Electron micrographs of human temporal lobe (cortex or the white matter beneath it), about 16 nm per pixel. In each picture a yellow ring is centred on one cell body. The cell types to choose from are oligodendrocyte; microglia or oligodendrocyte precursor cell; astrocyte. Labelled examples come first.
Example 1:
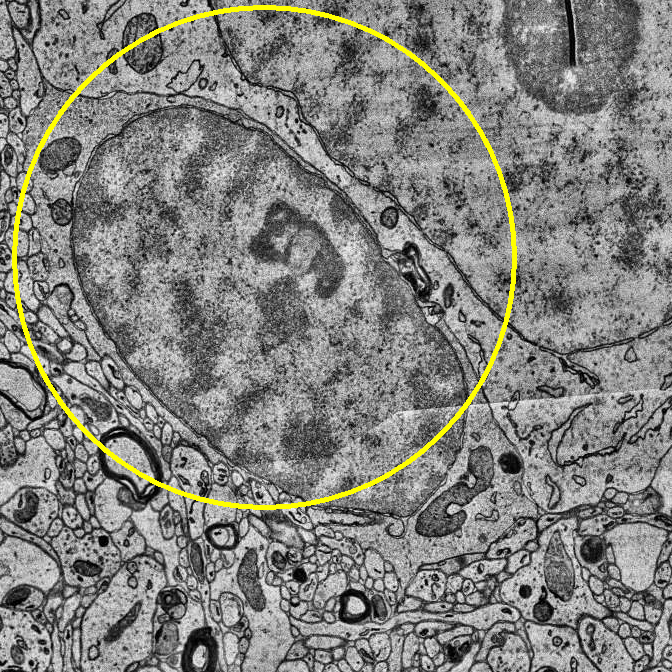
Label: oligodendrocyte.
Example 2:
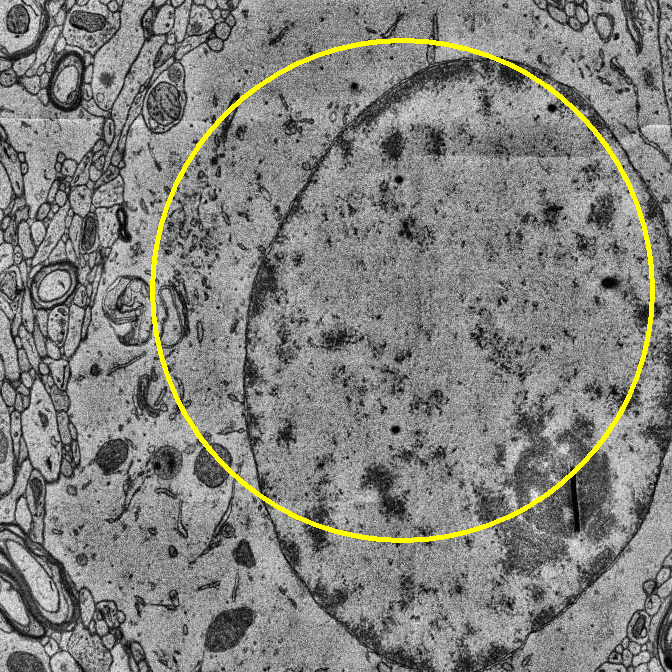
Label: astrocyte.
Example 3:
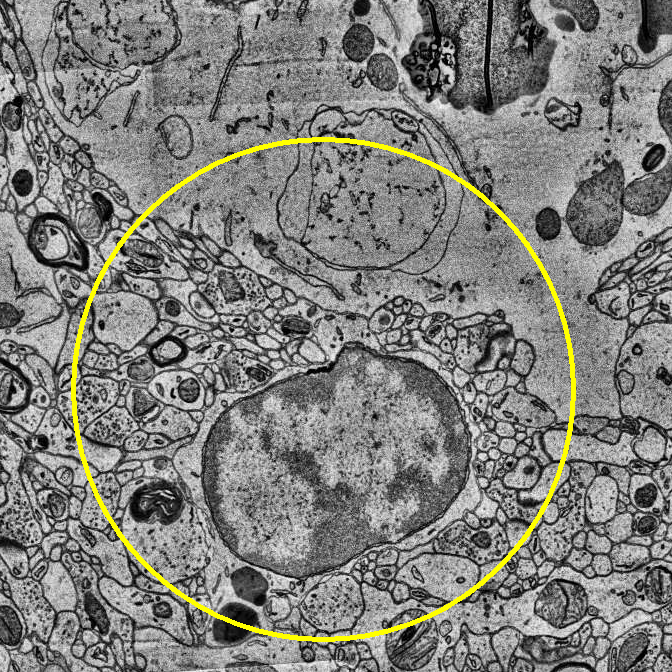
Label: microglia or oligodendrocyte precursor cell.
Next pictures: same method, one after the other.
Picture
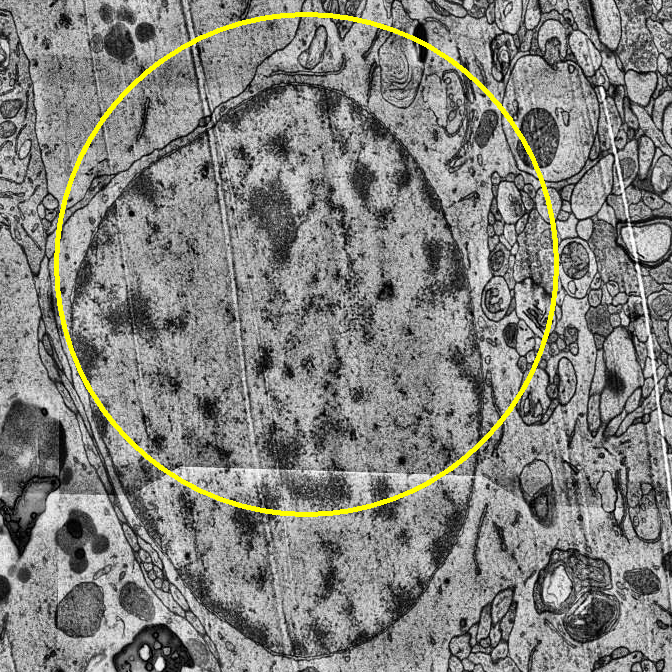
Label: astrocyte.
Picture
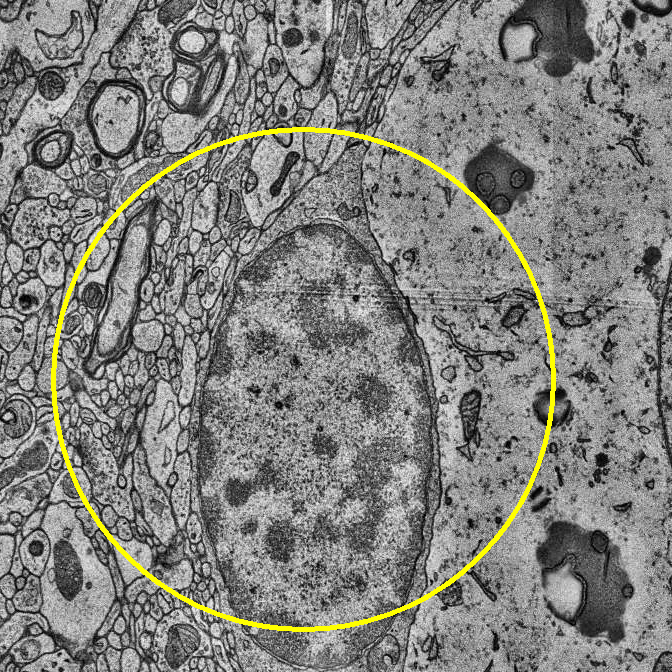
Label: oligodendrocyte.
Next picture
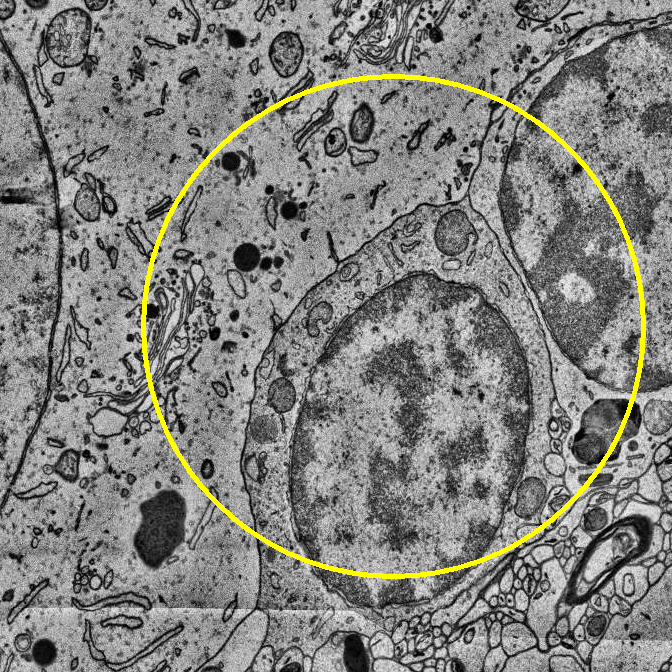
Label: oligodendrocyte.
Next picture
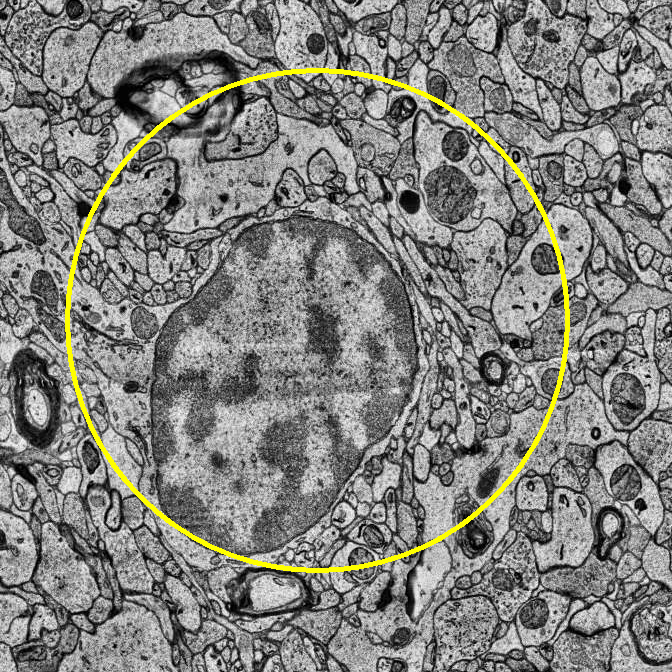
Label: microglia or oligodendrocyte precursor cell.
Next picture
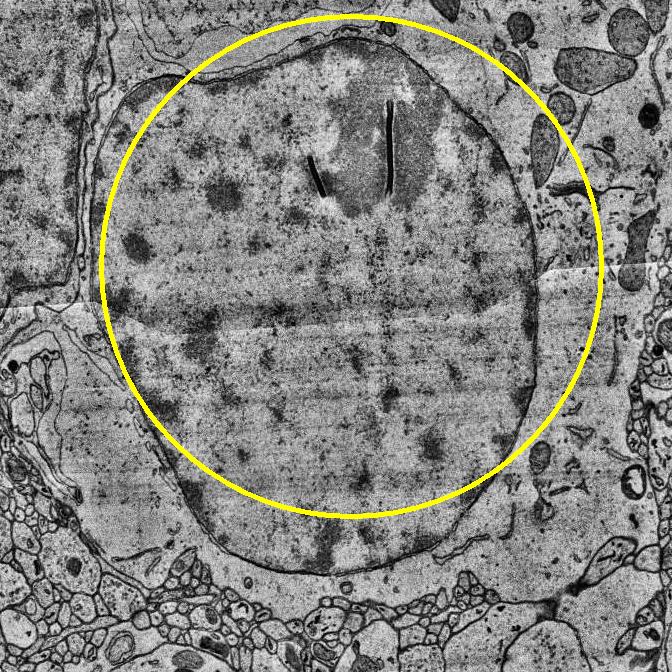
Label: astrocyte.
